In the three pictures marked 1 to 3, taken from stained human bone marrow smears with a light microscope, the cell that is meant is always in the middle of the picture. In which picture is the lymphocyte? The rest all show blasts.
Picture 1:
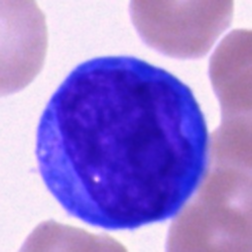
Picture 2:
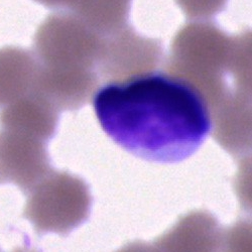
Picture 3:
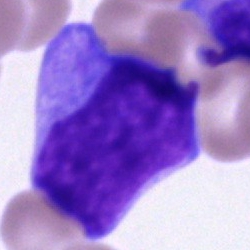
2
